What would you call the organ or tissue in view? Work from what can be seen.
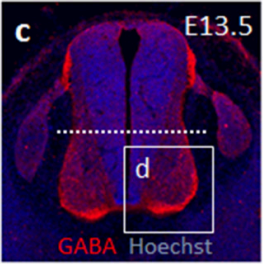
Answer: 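A bilaterally symmetric cross-section with a narrow midline canal. Paired lateral masses and a ventral region flank the midline. That points to this answer: spinal cord.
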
